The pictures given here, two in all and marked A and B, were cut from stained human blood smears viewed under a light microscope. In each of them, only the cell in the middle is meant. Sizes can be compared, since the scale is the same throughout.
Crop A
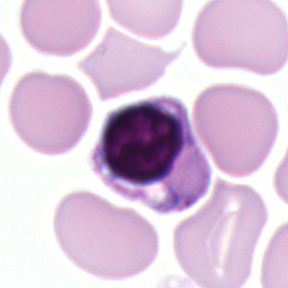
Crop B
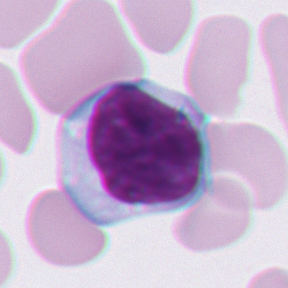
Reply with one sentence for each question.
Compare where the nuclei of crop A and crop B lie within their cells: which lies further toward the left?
In crop A the nucleus is shifted more toward the left.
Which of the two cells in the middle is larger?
Larger is the cell in crop B, at roughly 2 times the area of the other.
